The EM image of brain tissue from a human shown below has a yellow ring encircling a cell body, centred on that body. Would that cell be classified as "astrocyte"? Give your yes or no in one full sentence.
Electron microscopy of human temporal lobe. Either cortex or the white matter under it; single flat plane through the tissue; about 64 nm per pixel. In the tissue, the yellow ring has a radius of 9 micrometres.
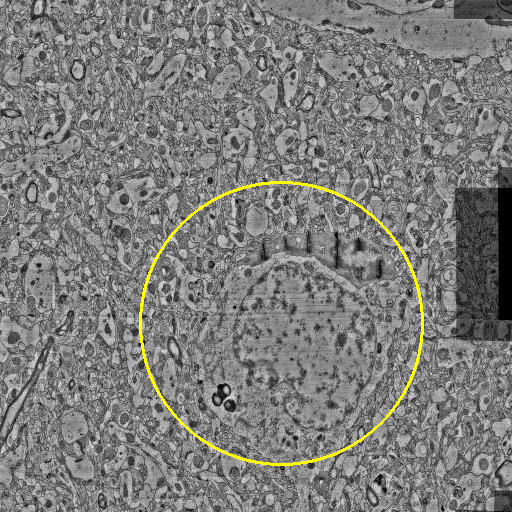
No, the cell at the centre of the ring in the picture falls in another class.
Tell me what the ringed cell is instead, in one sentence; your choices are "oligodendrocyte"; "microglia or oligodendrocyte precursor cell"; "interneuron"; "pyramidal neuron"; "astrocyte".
Instead, the ring surrounds an interneuron in this picture.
